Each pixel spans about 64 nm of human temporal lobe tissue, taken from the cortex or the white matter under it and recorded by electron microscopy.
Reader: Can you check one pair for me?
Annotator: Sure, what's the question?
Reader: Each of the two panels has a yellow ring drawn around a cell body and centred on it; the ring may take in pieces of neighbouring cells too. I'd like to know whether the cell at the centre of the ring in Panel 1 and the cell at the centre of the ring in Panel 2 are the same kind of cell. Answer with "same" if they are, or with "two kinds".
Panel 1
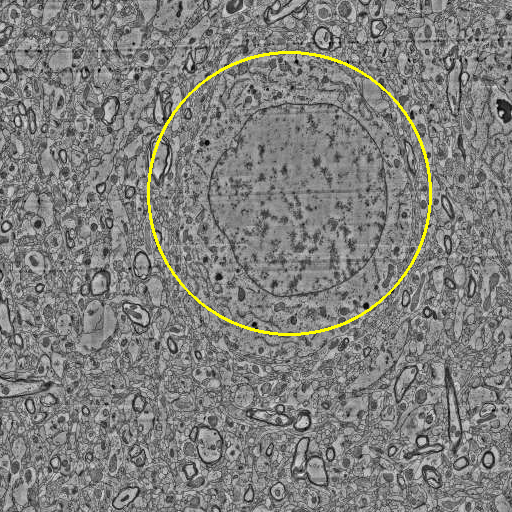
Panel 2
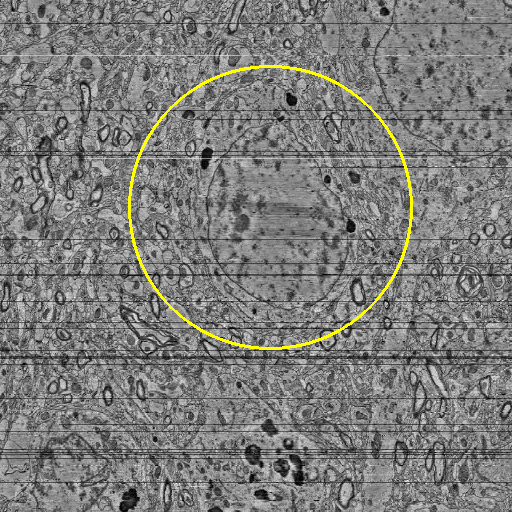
same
